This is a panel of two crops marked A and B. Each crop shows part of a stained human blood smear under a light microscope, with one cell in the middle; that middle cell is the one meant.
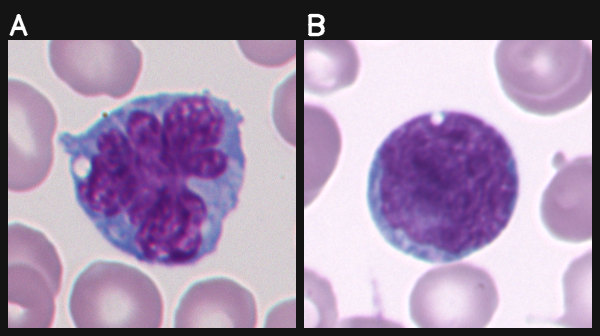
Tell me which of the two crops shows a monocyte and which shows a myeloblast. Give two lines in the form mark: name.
A: monocyte
B: myeloblast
